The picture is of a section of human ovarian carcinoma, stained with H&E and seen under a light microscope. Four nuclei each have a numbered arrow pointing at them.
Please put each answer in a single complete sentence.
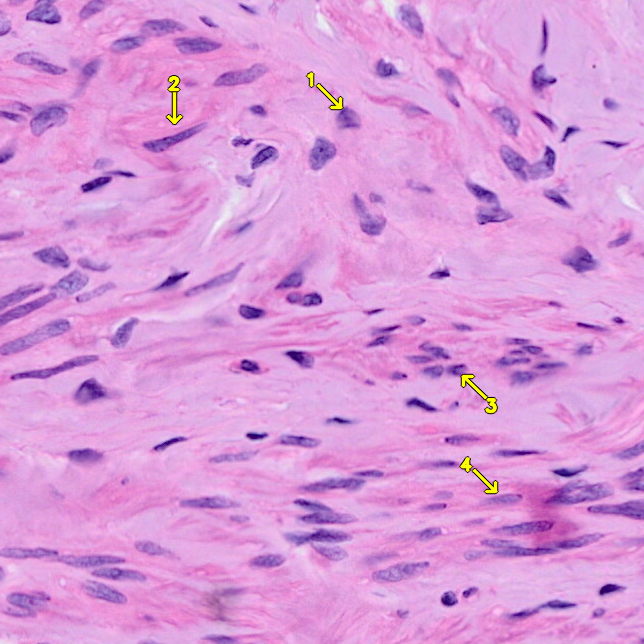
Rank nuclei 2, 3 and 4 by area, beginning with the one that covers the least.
By area, going up from the smallest, they rank 3, 4, 2.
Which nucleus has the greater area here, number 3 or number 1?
Of the two, number 1 is bigger and takes up about 2.5 times the area of number 3.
